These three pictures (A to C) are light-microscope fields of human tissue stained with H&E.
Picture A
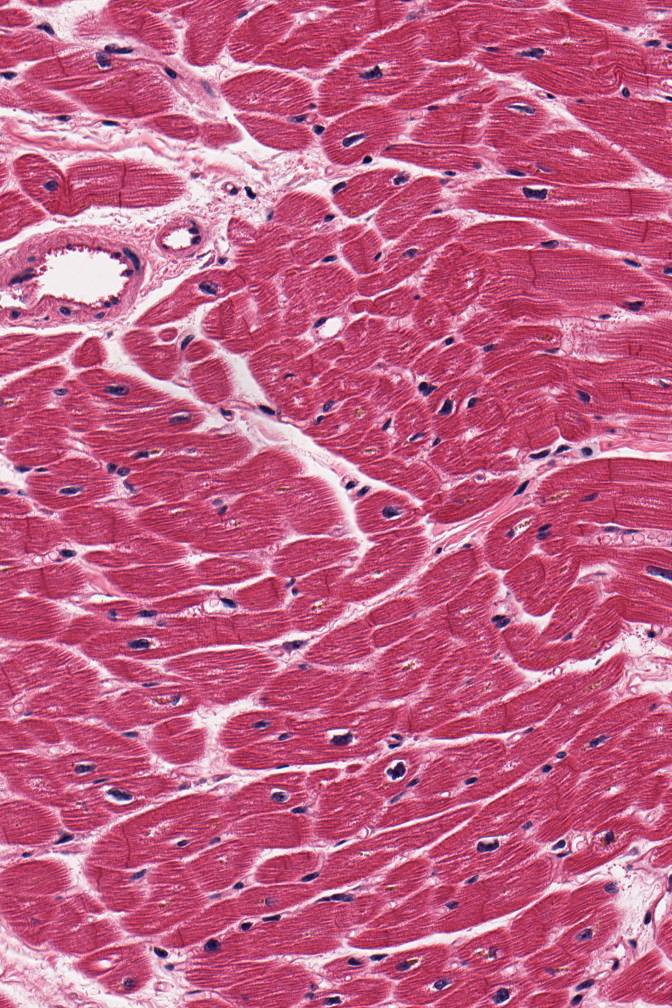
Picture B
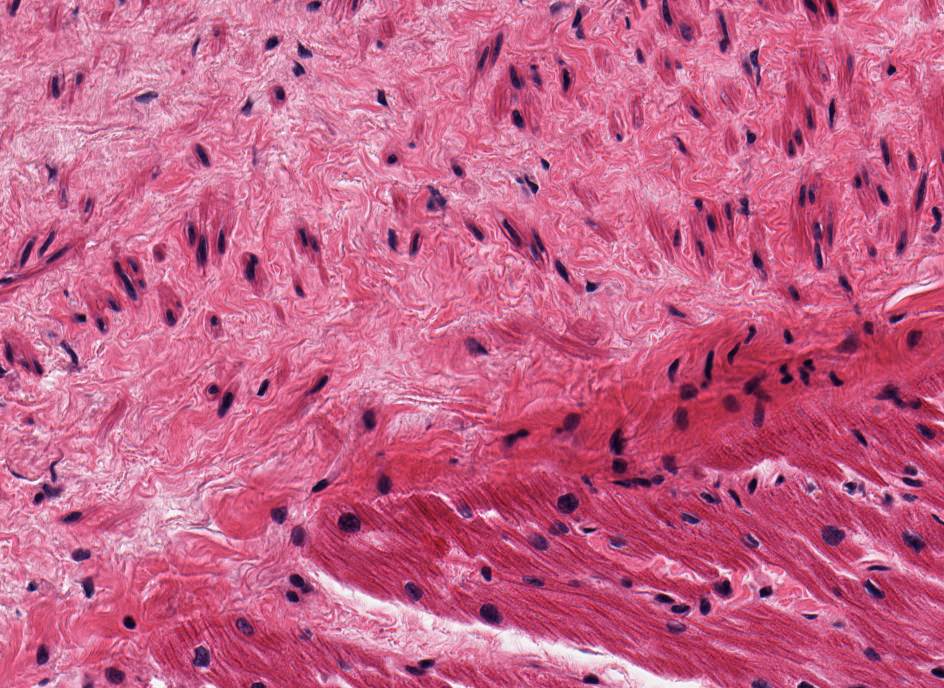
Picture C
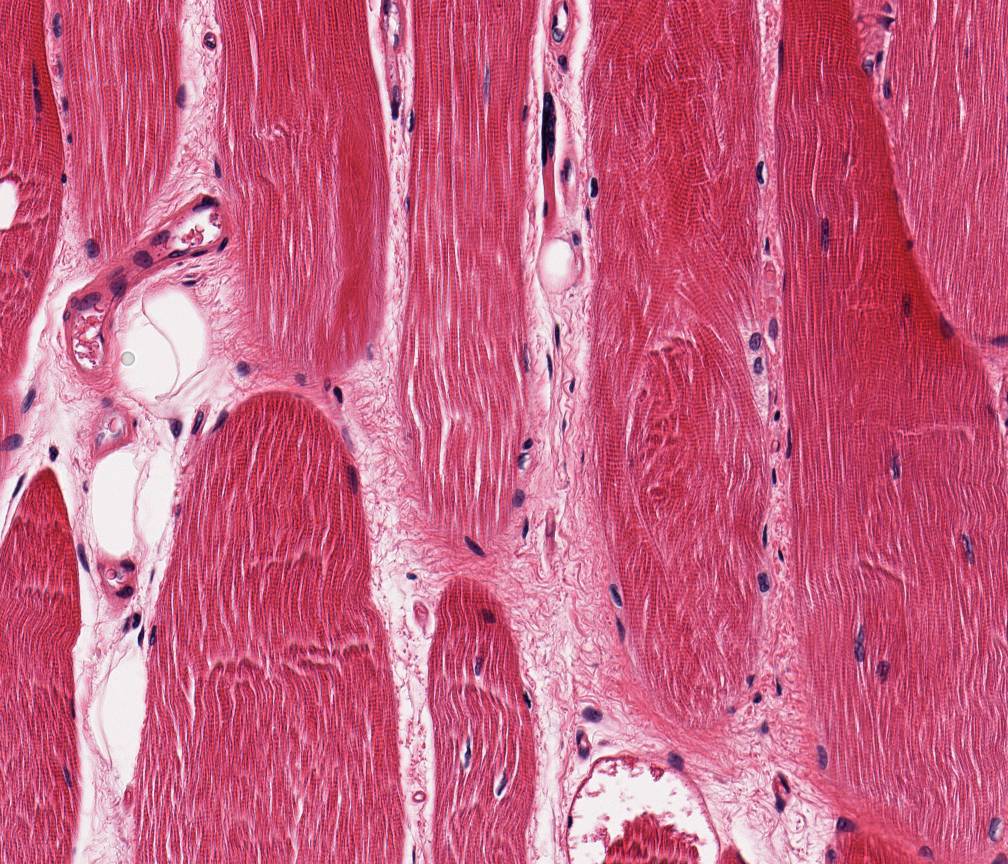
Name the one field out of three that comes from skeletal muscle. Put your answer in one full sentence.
Picture C is the field that comes from skeletal muscle.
